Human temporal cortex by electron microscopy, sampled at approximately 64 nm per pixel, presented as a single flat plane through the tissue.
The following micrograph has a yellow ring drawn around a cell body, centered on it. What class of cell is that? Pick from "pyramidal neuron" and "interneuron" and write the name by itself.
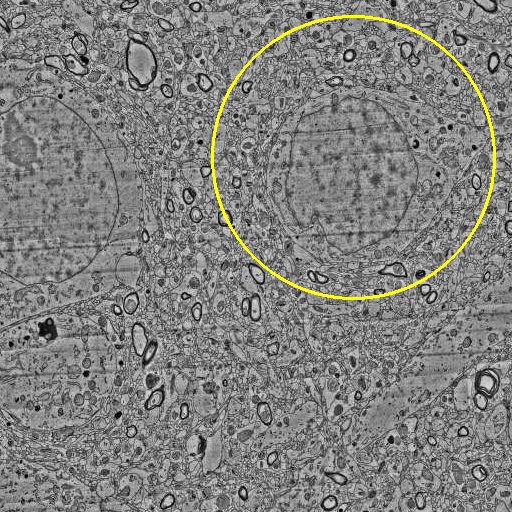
interneuron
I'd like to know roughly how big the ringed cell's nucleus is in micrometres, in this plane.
The ringed cell's nucleus is about 9 micrometres across in this plane.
